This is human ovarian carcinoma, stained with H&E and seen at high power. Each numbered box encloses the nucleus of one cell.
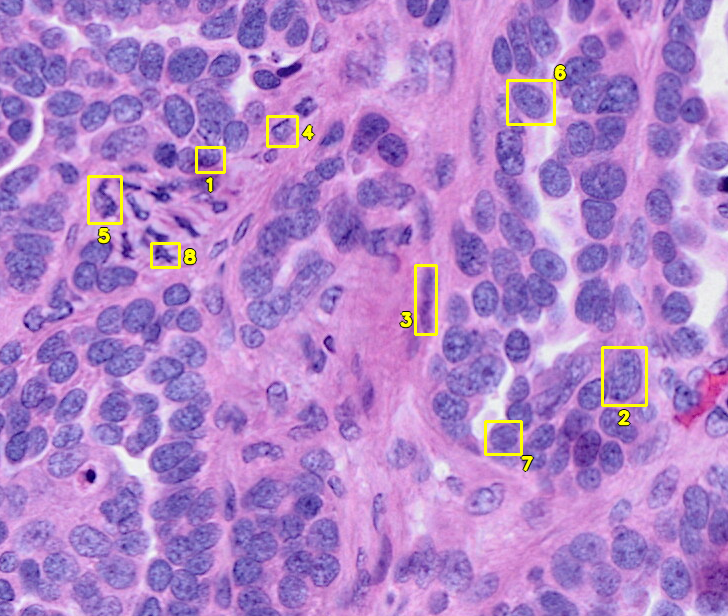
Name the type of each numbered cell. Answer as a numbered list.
1. carcinoma cell
2. carcinoma cell
3. fibroblast
4. fibroblast
5. fibroblast
6. carcinoma cell
7. carcinoma cell
8. fibroblast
